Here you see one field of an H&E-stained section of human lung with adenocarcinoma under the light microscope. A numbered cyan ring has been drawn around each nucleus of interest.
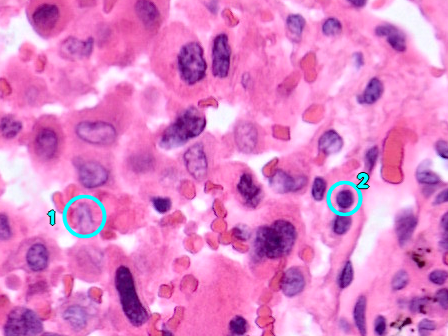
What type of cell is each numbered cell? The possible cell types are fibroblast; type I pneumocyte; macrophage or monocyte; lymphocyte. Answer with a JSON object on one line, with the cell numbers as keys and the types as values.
{"1": "macrophage or monocyte", "2": "lymphocyte"}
